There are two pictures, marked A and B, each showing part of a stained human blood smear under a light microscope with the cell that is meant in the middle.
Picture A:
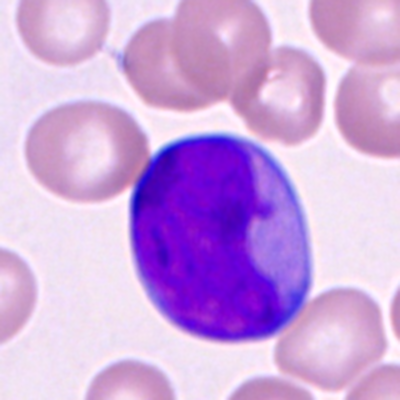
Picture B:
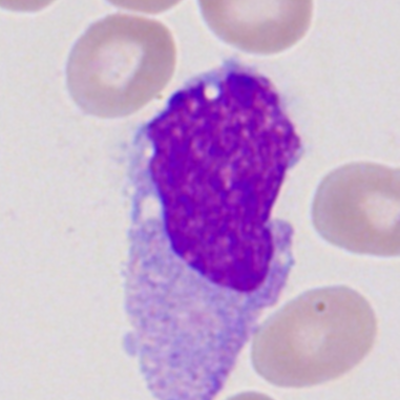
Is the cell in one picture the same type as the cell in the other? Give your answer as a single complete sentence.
No, the types are not the same, since picture A shows a myeloblast and picture B a monocyte.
